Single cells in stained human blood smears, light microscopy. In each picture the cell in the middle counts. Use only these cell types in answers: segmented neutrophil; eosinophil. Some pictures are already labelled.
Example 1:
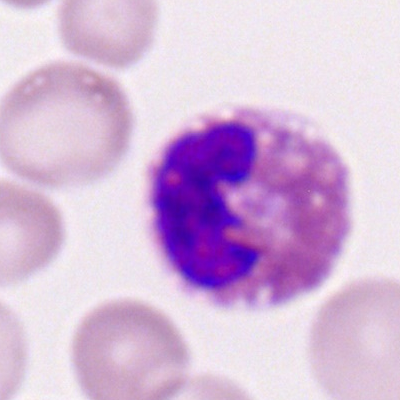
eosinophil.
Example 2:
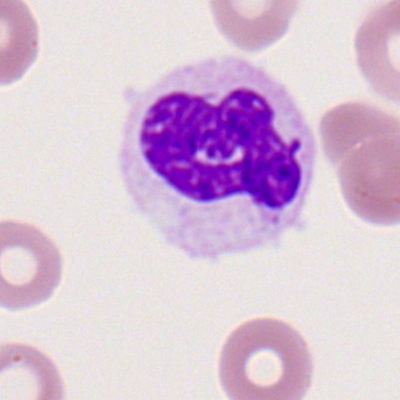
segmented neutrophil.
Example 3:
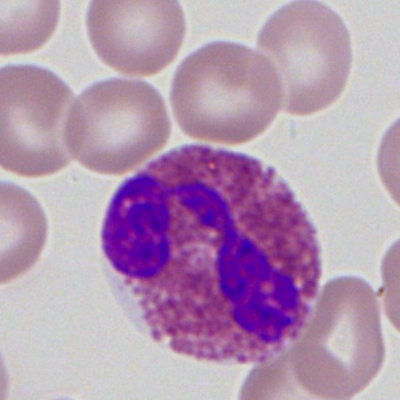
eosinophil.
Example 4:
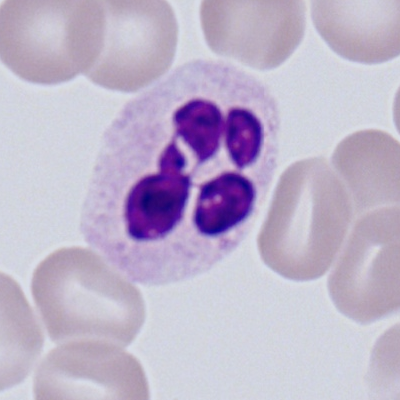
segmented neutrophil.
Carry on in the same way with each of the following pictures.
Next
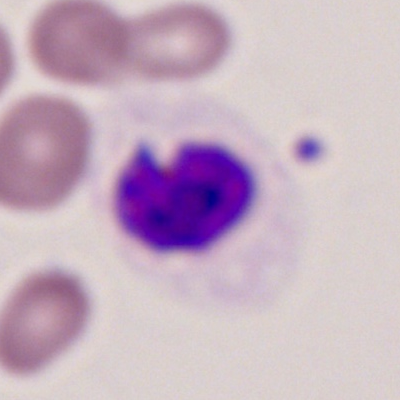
segmented neutrophil.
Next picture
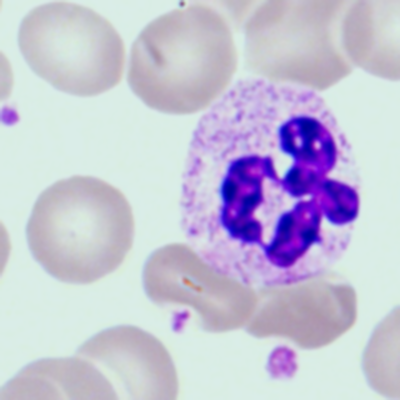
segmented neutrophil.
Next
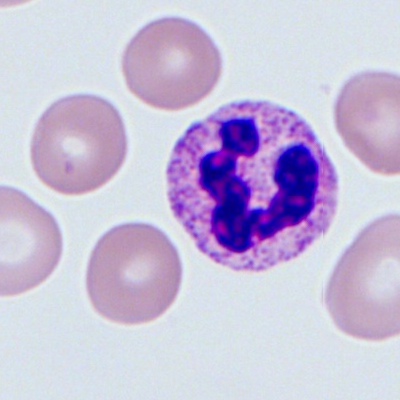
segmented neutrophil.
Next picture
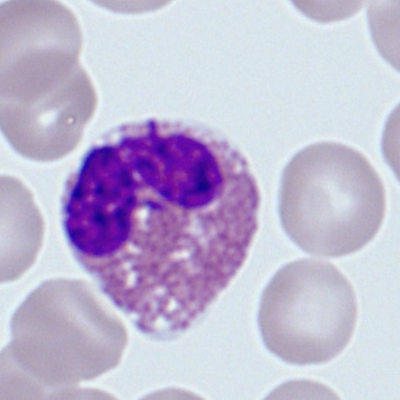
eosinophil.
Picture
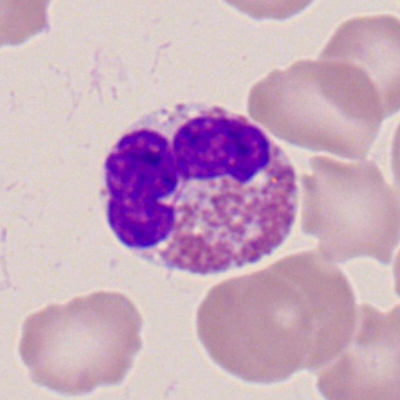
eosinophil.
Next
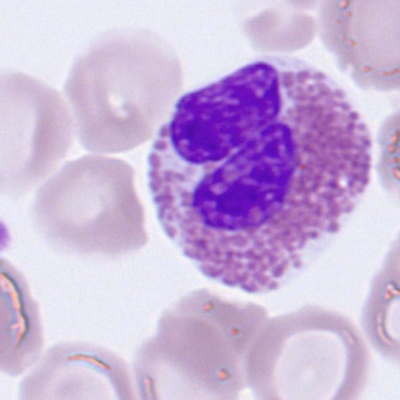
eosinophil.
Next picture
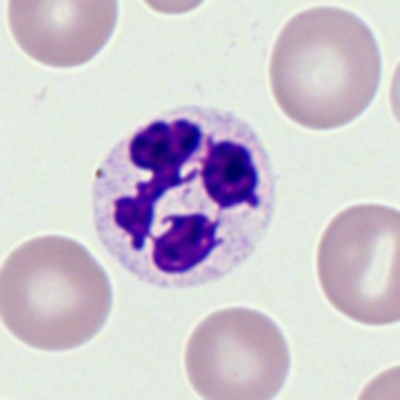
segmented neutrophil.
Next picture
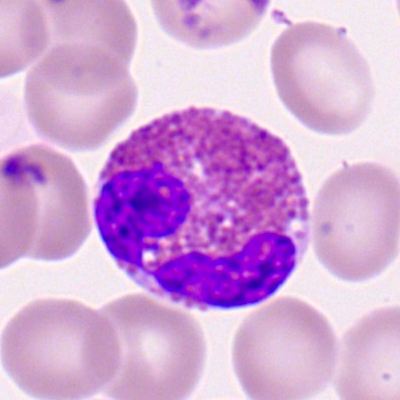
eosinophil.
